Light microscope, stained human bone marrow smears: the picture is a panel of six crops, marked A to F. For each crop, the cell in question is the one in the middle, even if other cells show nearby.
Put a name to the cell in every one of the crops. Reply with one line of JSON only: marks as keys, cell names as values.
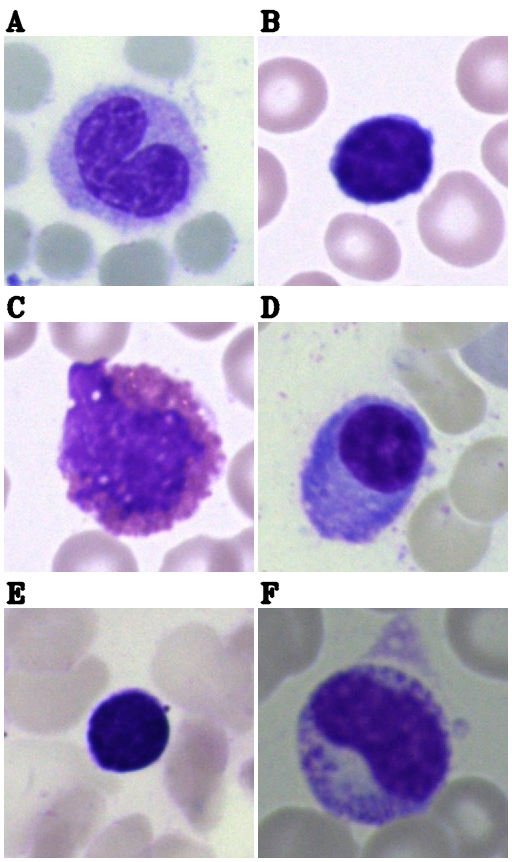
{"A": "band neutrophil", "B": "lymphocyte", "C": "eosinophil", "D": "plasma cell", "E": "lymphocyte", "F": "myelocyte"}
